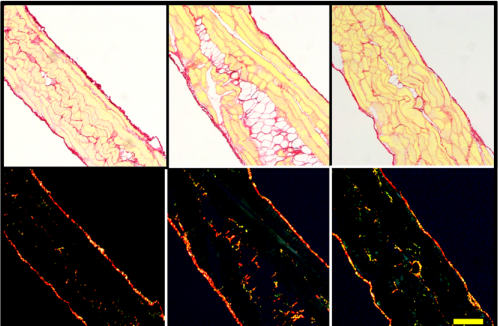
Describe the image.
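In bright-field the muscle fibres appear yellow and run in parallel along the length of the sheet, each outlined by thin red strands of connective tissue, with a thicker red band along the outer surfaces. In one section a cluster of large, empty, polygonal cells with thin walls, typical of fat cells, lies between the fibres in the middle of the muscle. Under polarized light the connective tissue shines as bright orange-red and yellow lines along the surfaces and as finer strands between fibres on a dark background.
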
